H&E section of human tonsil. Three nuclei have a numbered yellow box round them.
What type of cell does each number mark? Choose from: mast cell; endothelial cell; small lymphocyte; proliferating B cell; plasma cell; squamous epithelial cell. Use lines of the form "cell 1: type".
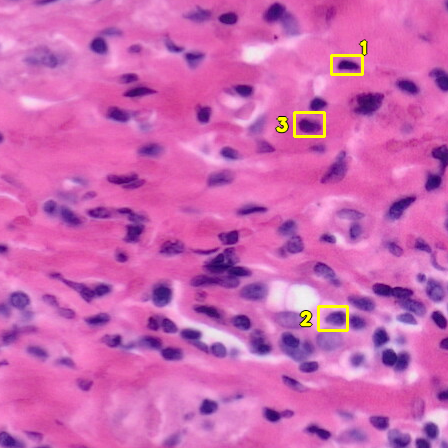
cell 1: mast cell
cell 2: endothelial cell
cell 3: mast cell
